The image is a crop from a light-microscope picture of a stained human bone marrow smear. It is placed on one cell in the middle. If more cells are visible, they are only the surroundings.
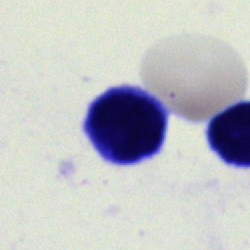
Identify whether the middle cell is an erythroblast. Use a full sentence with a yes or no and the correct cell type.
No, the cell sitting in the centre of the crop is a lymphocyte, not an erythroblast.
